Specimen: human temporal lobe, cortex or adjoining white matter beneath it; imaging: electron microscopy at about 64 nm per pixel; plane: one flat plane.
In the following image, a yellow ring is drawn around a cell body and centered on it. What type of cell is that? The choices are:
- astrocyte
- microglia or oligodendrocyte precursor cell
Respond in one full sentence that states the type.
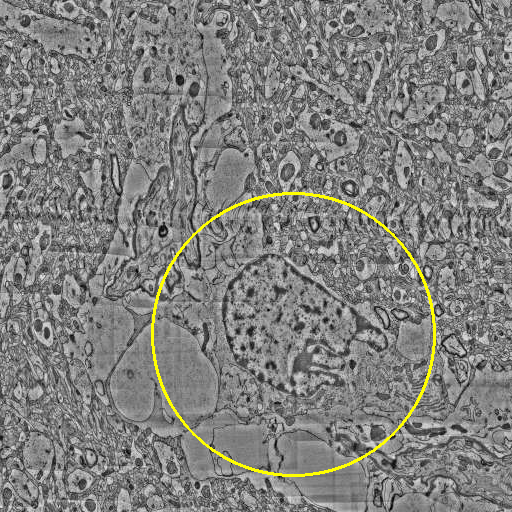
The cell at the center of the yellow ring in the image is a microglial cell or oligodendrocyte precursor cell.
